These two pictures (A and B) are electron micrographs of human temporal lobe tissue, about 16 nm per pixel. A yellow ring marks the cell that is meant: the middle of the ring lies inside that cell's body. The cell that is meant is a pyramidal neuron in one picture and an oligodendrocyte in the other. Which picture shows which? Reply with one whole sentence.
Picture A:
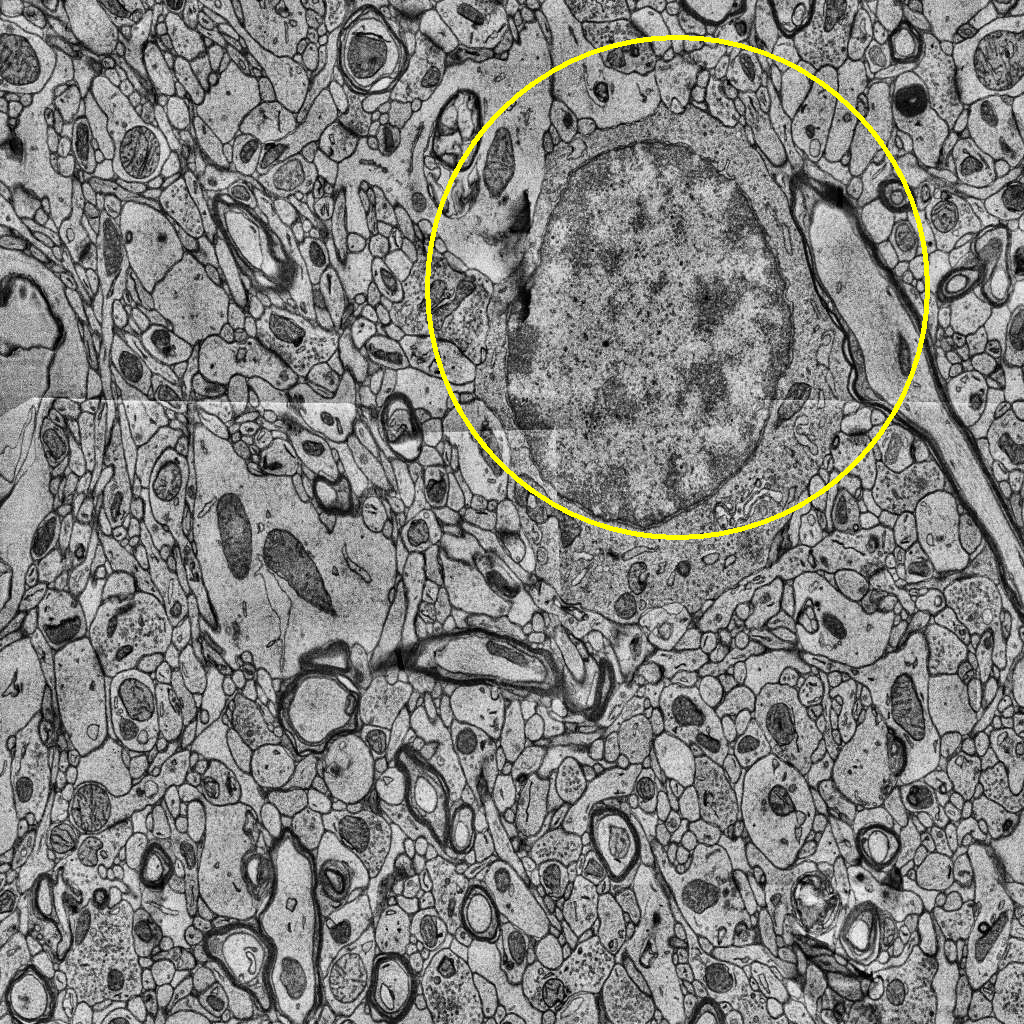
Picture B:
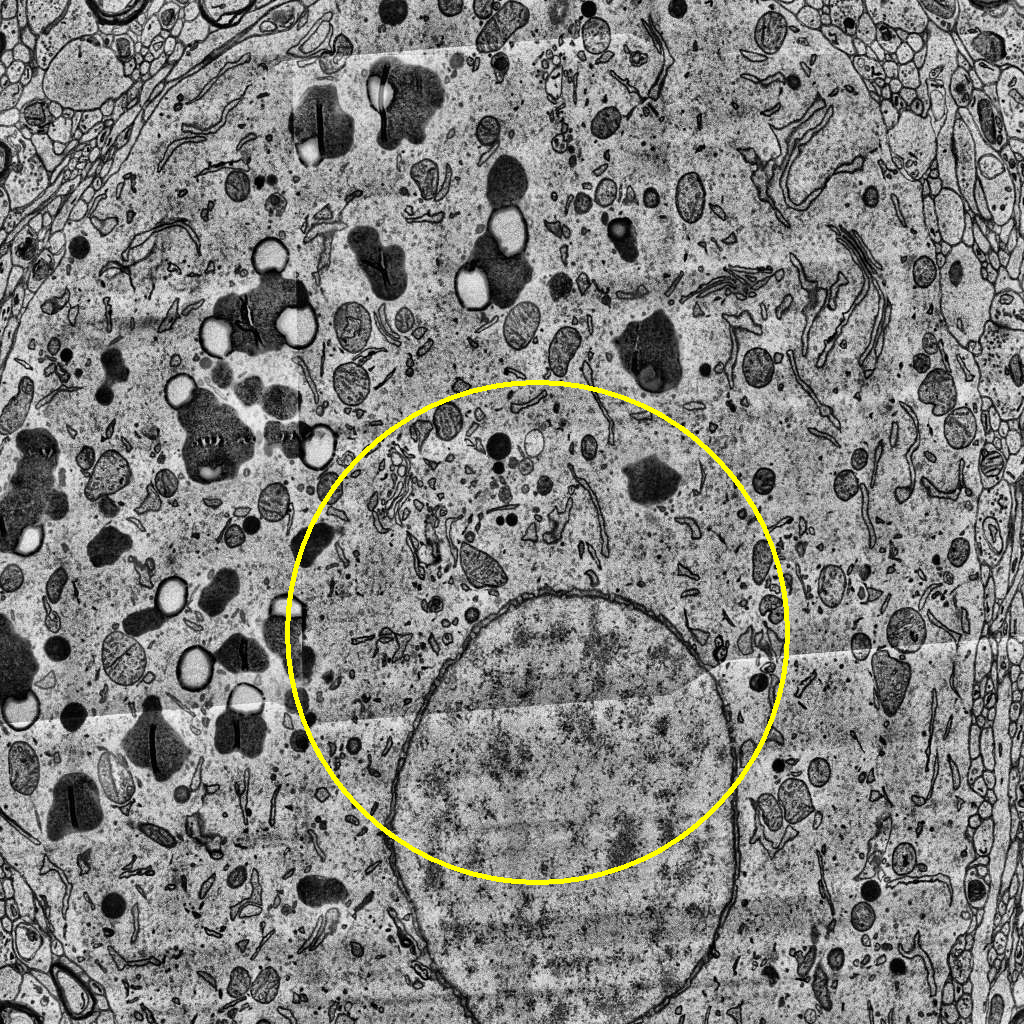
The cell in picture A is an oligodendrocyte, and the one in picture B is a pyramidal neuron.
